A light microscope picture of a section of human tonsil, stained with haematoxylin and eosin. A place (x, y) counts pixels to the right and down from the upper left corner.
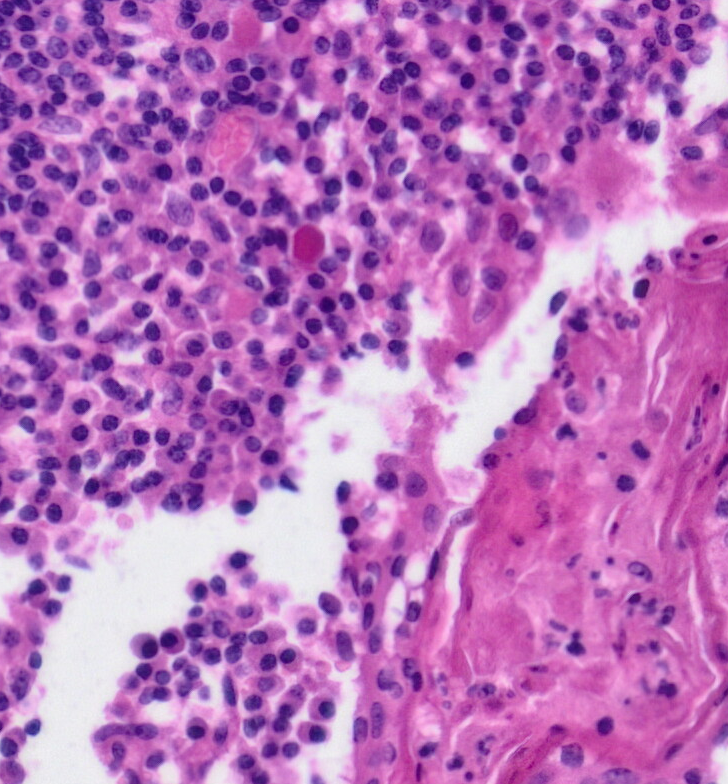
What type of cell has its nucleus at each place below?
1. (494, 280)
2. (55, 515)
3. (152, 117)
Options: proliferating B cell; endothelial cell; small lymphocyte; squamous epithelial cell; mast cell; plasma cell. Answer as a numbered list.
1. squamous epithelial cell
2. plasma cell
3. small lymphocyte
